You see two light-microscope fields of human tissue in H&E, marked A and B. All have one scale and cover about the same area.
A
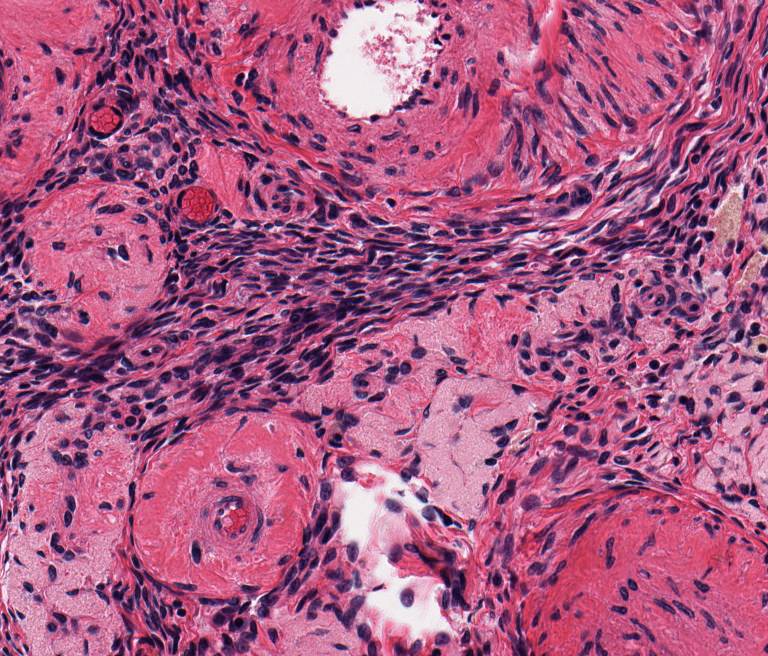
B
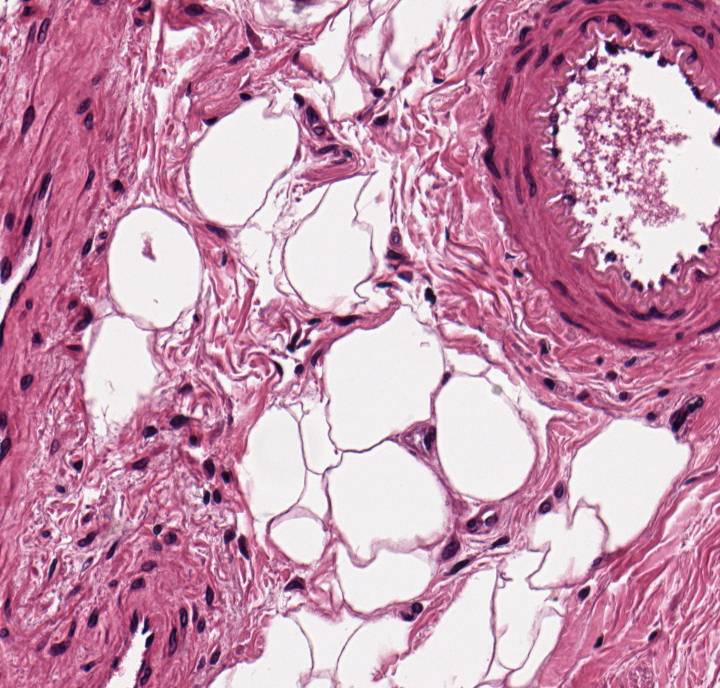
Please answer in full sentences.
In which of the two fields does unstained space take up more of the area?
It is picture B in which white space covers the larger part.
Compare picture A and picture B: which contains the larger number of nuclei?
The larger number of nuclei is in picture A.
